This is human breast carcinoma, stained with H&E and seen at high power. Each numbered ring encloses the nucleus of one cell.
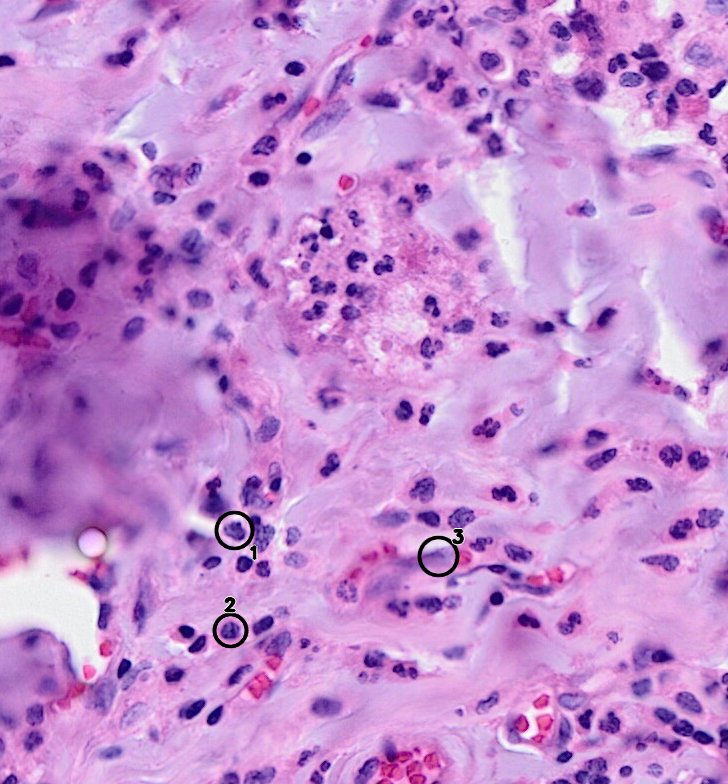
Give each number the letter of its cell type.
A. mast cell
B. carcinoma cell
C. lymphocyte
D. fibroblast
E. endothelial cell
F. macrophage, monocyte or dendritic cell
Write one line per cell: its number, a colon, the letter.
1: C
2: A
3: E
